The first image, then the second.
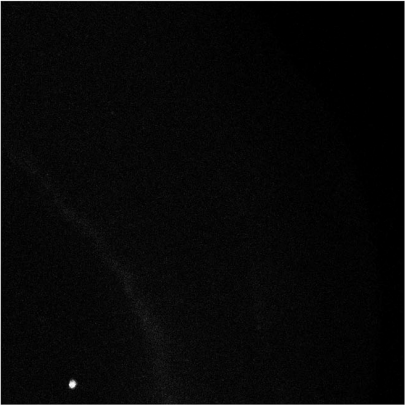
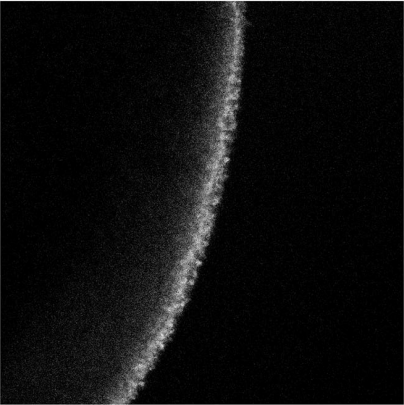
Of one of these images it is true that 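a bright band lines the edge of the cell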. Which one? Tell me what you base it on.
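First image: only a faint, barely visible curved line with no bright band. Second image: a distinct bright band follows the curved cell edge. On this evidence: the second image.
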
